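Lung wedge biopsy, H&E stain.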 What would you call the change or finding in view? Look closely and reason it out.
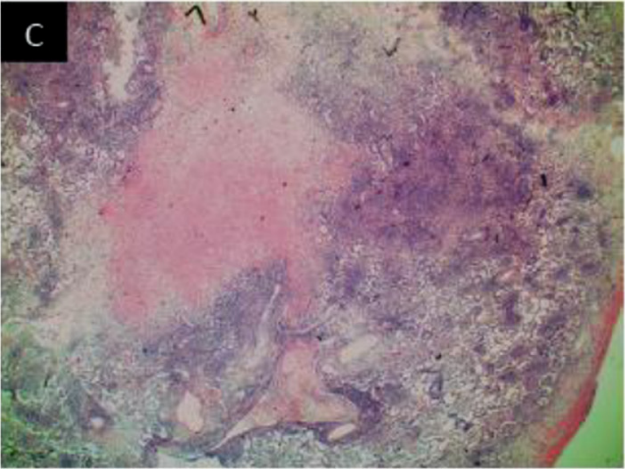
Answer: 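A large central pale pink area lacks nuclei. Dense purple cellular infiltrate borders the pink area. The border between the pink area and the infiltrate is irregular.
Geographic tissue necrosis.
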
